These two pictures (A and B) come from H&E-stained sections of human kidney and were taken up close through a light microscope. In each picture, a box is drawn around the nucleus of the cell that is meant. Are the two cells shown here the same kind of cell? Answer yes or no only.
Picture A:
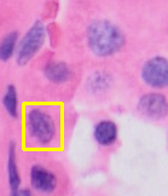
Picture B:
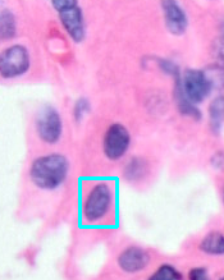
yes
